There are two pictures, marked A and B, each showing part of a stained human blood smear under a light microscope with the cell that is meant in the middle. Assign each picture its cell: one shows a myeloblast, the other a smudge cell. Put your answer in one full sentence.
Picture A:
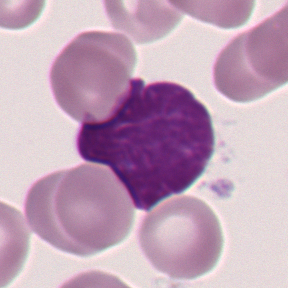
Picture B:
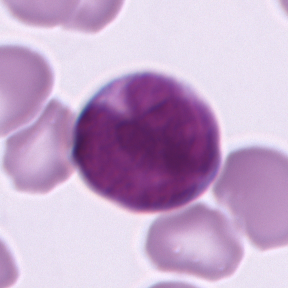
It is picture A that shows a smudge cell, and picture B that shows a myeloblast.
